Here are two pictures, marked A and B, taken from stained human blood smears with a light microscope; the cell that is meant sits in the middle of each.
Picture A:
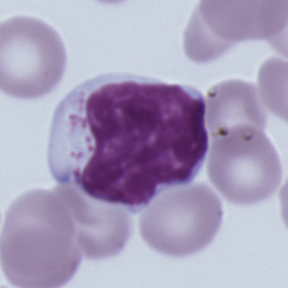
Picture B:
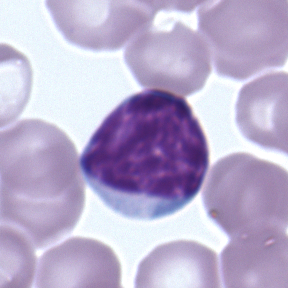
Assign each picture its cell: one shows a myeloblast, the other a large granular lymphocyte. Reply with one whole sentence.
In picture A the cell is a large granular lymphocyte; in picture B, a myeloblast.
